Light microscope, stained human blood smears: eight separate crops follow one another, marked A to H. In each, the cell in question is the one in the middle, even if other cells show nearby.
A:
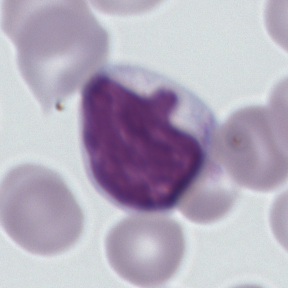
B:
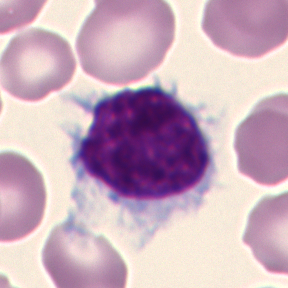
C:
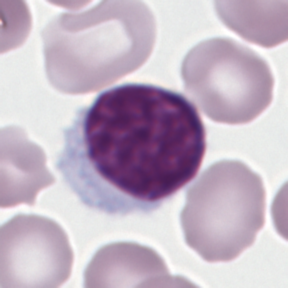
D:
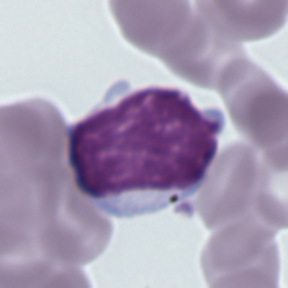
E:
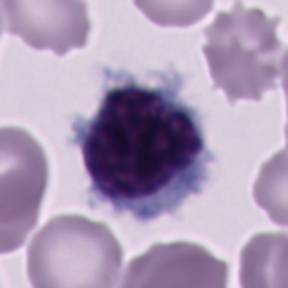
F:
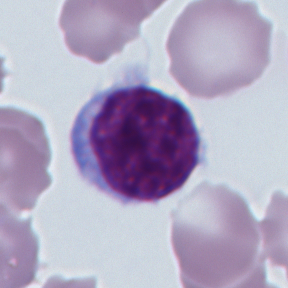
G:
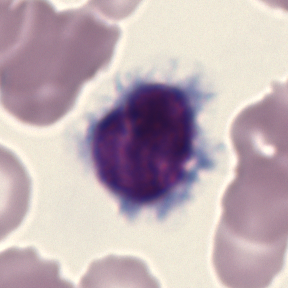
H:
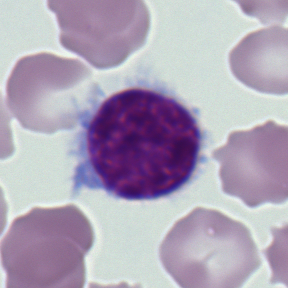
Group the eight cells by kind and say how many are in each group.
hairy cell: 6
large granular lymphocyte: 2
